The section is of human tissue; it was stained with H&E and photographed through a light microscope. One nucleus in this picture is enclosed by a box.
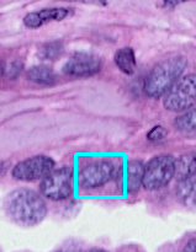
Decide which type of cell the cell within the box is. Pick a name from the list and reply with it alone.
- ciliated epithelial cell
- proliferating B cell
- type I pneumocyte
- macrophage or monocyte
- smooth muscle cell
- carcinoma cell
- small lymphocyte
carcinoma cell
